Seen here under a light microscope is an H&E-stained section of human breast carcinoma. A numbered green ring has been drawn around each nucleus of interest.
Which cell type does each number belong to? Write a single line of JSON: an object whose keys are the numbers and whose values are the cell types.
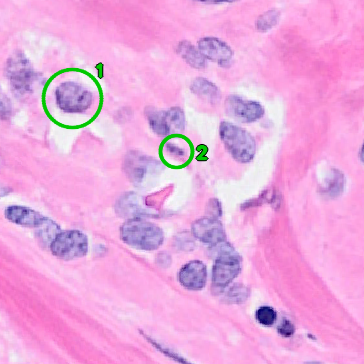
{"1": "carcinoma cell", "2": "endothelial cell"}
